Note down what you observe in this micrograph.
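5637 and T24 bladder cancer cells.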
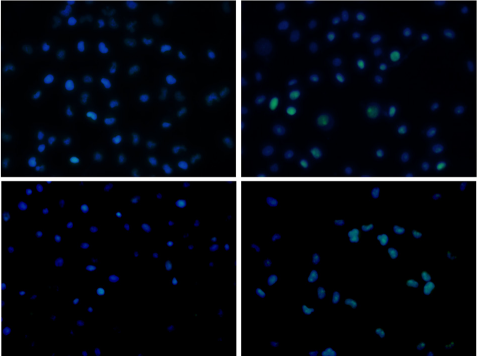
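Cytoplasm and cell borders are not shown. Among the blue nuclei some glow bright green-cyan; these are few in the left-hand fields and clearly more frequent in the right-hand fields. Green-cyan nuclei look about as large as the blue ones or a little larger, with even signal. Cells in the lower row lie more sparsely than in the upper row.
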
